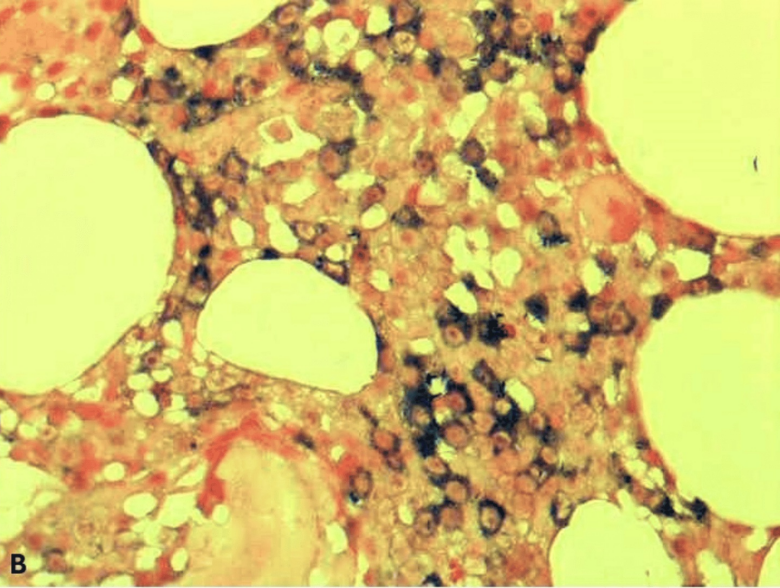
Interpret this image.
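This is bone marrow, with large round empty fat spaces set among densely packed marrow cells on an orange-red background. Scattered among the marrow cells are groups of round cells whose cytoplasm is rimmed by a dark stain around a central round nucleus. Many other marrow cells in between remain unstained.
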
